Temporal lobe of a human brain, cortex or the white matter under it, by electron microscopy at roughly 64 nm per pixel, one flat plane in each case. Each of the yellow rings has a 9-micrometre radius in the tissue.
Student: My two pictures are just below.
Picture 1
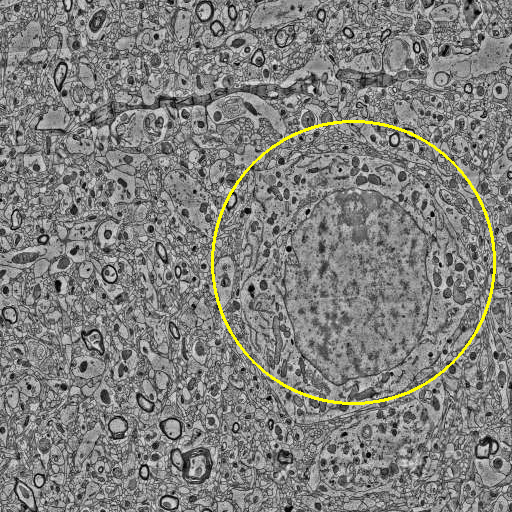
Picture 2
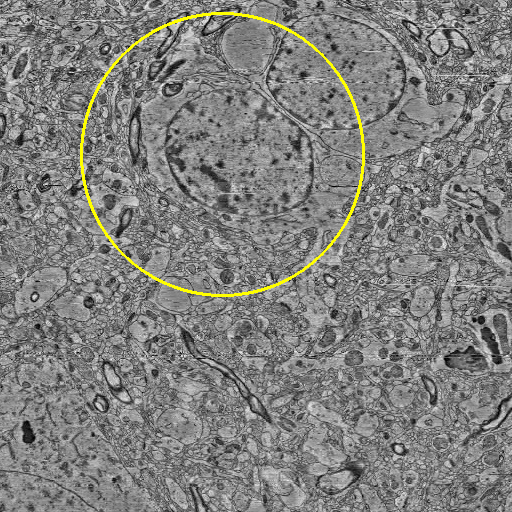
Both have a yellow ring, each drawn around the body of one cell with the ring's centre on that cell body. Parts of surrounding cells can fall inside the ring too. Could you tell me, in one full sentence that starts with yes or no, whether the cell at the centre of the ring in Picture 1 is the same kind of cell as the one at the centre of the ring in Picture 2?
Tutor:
No, the two cells are of two kinds.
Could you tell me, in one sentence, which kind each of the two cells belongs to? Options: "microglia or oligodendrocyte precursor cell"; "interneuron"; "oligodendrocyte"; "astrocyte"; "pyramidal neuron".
At the centre of the first ring sits an interneuron, and at the centre of the second sits an astrocyte.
